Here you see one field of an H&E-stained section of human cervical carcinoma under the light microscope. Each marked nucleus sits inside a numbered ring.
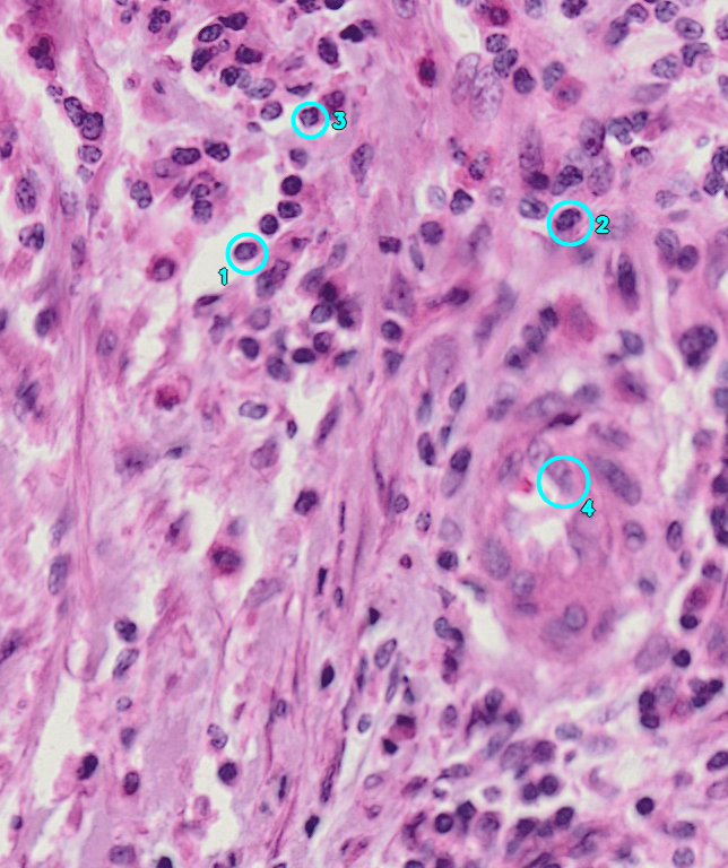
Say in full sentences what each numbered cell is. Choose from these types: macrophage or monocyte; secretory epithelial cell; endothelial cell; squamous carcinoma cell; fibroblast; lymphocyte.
Cell 1 is a lymphocyte, cell 2 is a lymphocyte, cell 3 is a lymphocyte and cell 4 is an endothelial cell.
